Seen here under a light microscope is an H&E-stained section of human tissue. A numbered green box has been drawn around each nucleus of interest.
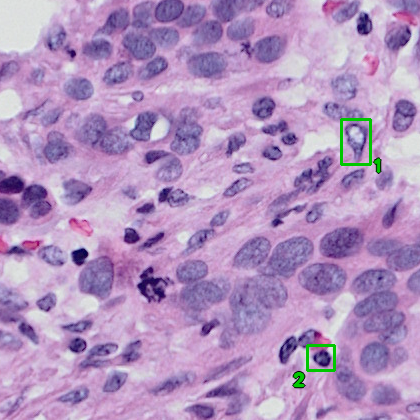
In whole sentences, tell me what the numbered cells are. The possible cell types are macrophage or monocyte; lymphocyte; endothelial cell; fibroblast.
Cell 1 is a fibroblast. Cell 2 is a lymphocyte.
